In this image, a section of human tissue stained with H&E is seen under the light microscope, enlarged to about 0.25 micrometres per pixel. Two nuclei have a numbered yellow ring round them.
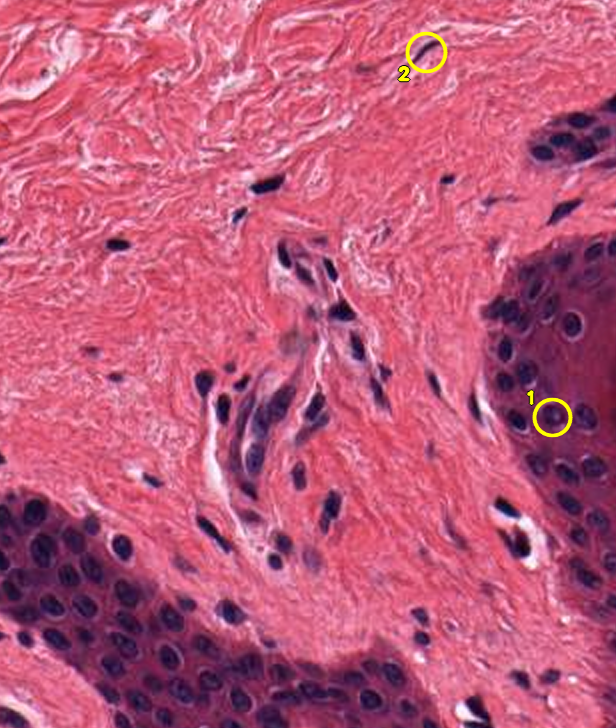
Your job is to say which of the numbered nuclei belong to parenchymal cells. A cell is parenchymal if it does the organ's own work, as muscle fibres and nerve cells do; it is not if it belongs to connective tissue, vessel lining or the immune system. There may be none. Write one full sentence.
It is only nucleus 1 that marks a parenchymal cell.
